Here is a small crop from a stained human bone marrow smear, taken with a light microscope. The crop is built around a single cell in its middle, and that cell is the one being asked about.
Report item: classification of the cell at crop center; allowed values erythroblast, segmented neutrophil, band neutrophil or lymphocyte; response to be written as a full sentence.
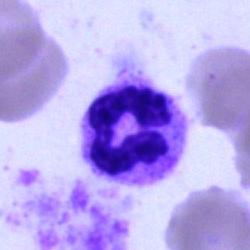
The cell in the middle of this crop is a segmented neutrophil.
